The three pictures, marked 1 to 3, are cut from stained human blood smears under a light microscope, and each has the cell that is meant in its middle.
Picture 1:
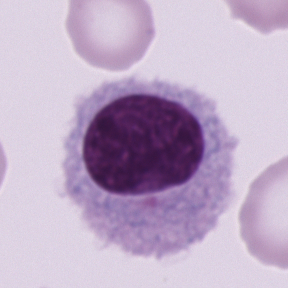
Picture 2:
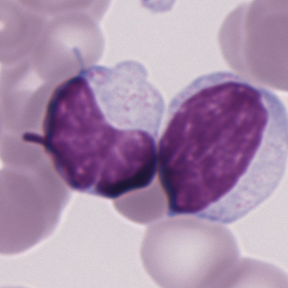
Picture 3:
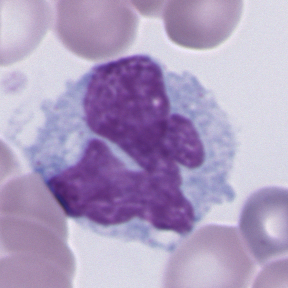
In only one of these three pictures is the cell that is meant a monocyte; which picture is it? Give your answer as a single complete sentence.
Picture 3 shows the monocyte.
